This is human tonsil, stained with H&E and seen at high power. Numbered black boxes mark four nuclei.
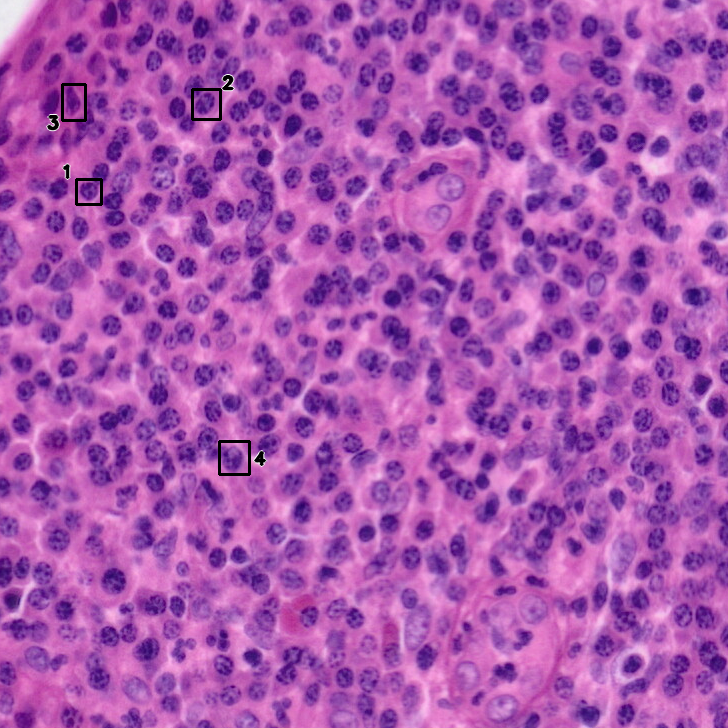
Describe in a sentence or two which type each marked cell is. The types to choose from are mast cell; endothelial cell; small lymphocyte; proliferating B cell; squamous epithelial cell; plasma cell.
Cell 1 is a plasma cell, cell 2 is a plasma cell, cell 3 is a squamous epithelial cell and cell 4 is a plasma cell.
